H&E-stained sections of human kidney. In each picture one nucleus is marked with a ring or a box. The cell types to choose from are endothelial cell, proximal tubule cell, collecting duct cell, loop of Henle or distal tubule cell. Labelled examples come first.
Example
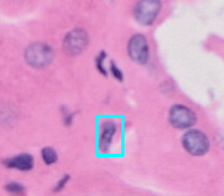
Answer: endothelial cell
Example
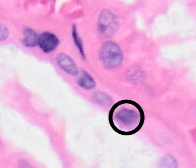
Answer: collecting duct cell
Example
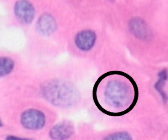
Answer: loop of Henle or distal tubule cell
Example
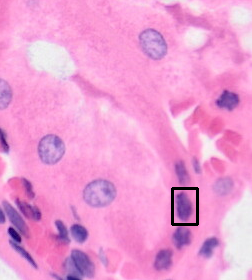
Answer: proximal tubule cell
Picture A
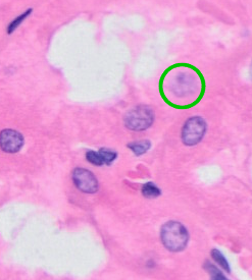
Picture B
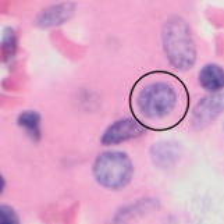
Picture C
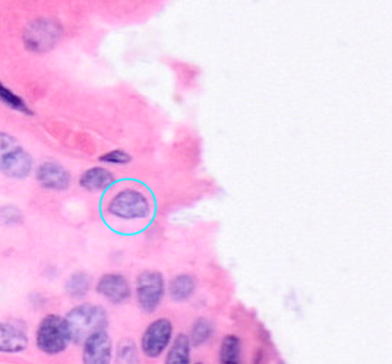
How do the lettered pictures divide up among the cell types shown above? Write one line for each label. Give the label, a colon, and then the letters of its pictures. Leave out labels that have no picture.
proximal tubule cell: A
collecting duct cell: B, C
